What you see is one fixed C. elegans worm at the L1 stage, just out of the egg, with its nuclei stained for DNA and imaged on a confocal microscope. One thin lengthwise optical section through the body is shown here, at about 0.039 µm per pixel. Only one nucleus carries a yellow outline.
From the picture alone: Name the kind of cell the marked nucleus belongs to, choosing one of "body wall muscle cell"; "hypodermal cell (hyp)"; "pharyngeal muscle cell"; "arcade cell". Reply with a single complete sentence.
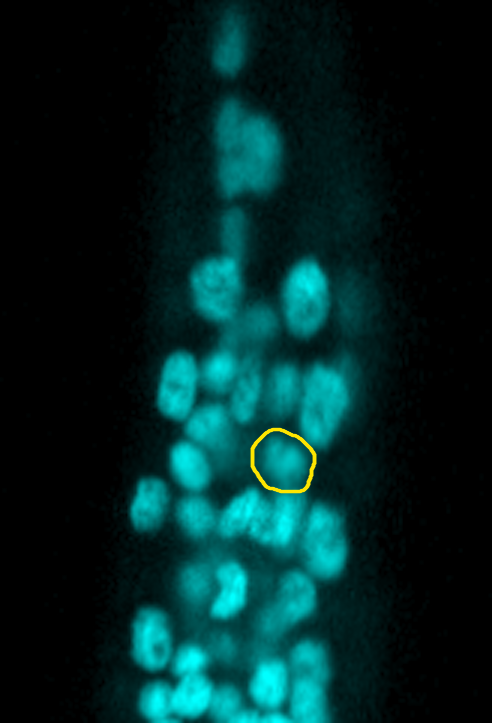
It belongs to an arcade cell.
